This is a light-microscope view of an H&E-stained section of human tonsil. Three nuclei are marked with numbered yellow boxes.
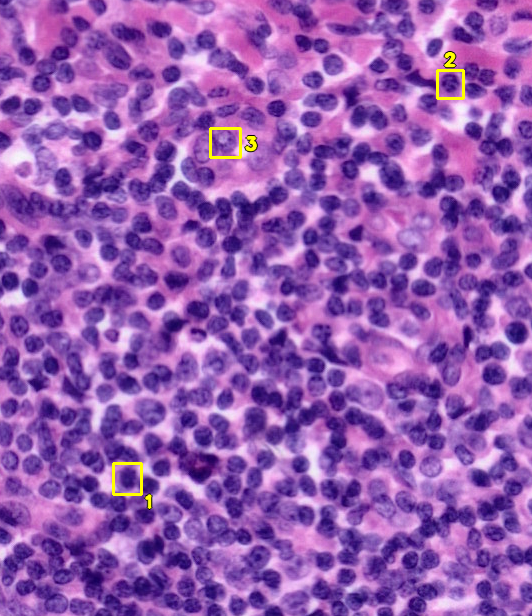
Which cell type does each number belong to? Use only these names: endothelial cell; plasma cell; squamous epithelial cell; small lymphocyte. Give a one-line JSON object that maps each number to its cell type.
{"1": "small lymphocyte", "2": "plasma cell", "3": "endothelial cell"}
